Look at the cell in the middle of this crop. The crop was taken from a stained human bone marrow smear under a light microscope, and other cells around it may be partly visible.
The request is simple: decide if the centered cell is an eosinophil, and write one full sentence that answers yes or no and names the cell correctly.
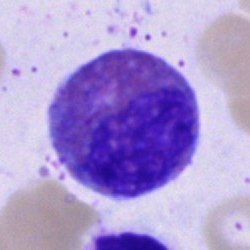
Yes, the cell occupying the middle of the crop is an eosinophil.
